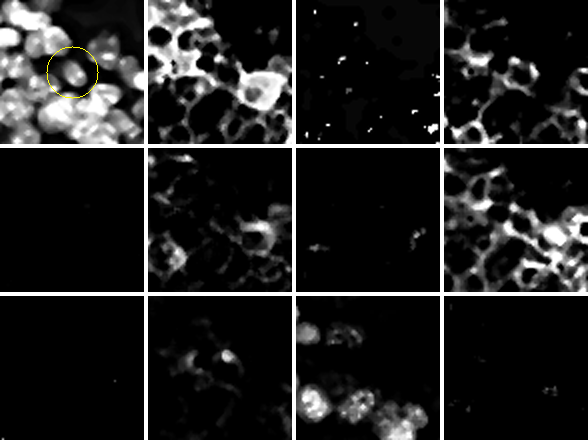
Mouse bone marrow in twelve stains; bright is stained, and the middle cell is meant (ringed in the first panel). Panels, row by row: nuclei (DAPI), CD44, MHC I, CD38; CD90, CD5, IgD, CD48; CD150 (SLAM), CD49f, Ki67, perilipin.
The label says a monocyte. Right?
Right.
